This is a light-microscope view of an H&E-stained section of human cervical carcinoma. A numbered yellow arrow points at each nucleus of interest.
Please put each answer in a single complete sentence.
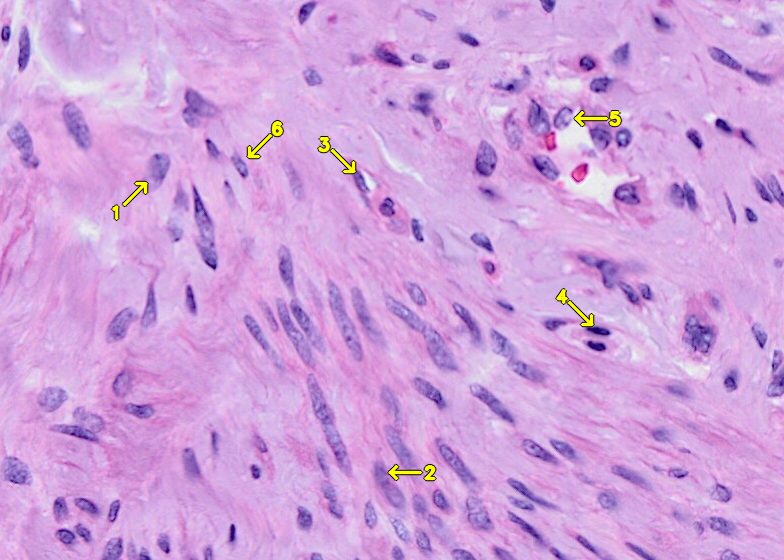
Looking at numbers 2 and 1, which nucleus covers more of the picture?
It is nucleus 1, which covers about 2.5 times the area of nucleus 2.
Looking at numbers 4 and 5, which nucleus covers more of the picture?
Of the two, number 5 is bigger and takes up about 1.5 times the area of number 4.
